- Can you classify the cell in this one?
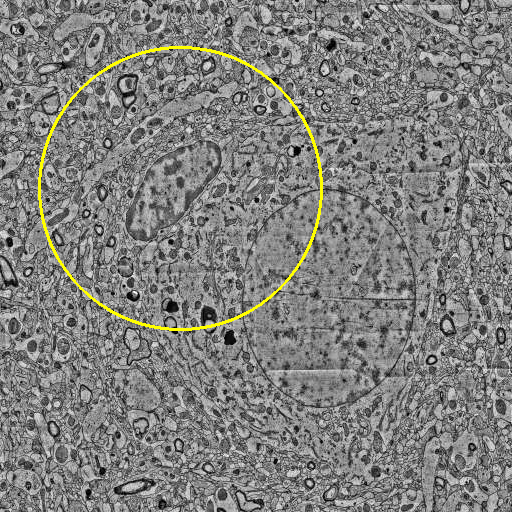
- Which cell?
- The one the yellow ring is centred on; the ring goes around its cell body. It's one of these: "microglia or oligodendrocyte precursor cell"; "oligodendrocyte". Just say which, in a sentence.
The cell body in the ring belongs to a microglial cell or oligodendrocyte precursor cell.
